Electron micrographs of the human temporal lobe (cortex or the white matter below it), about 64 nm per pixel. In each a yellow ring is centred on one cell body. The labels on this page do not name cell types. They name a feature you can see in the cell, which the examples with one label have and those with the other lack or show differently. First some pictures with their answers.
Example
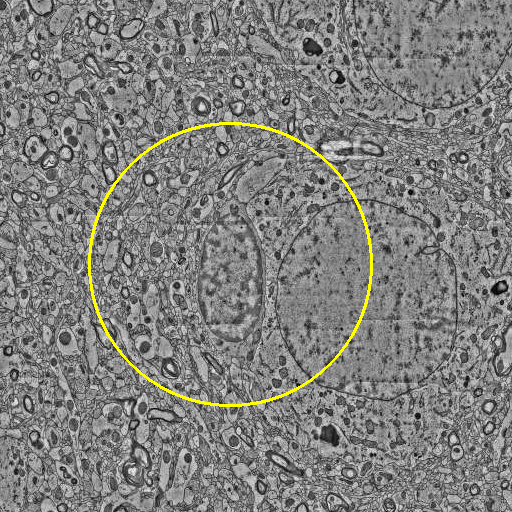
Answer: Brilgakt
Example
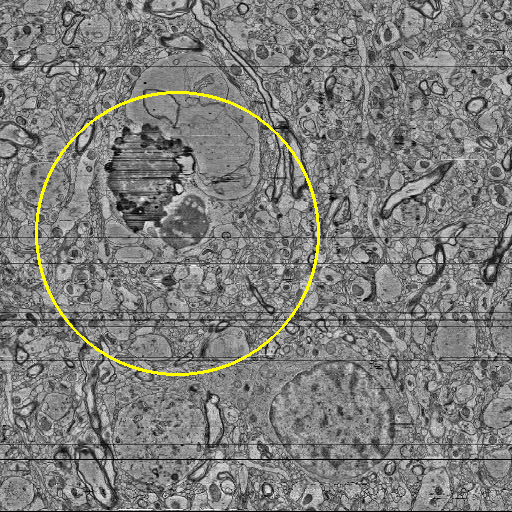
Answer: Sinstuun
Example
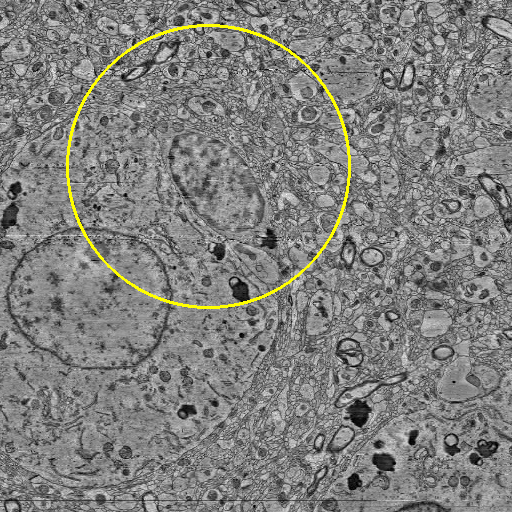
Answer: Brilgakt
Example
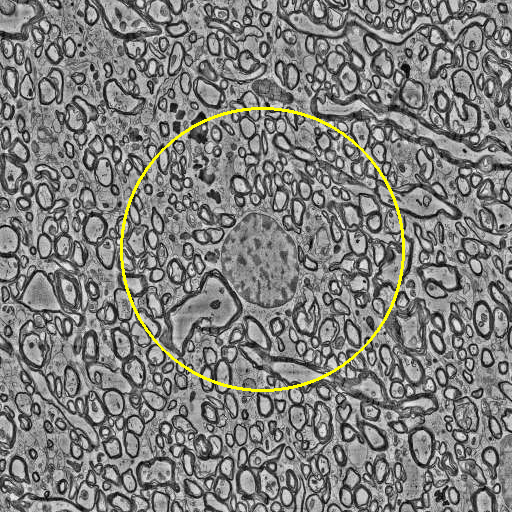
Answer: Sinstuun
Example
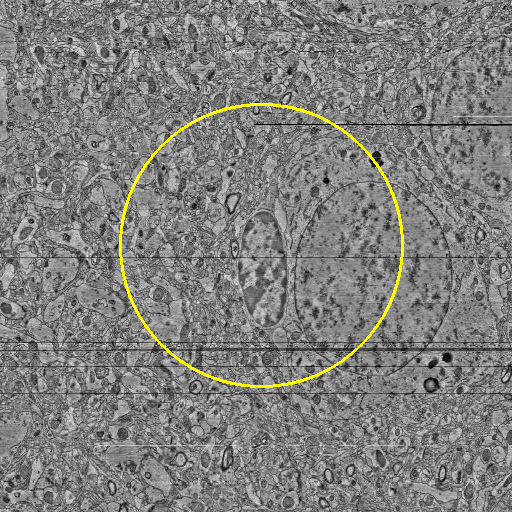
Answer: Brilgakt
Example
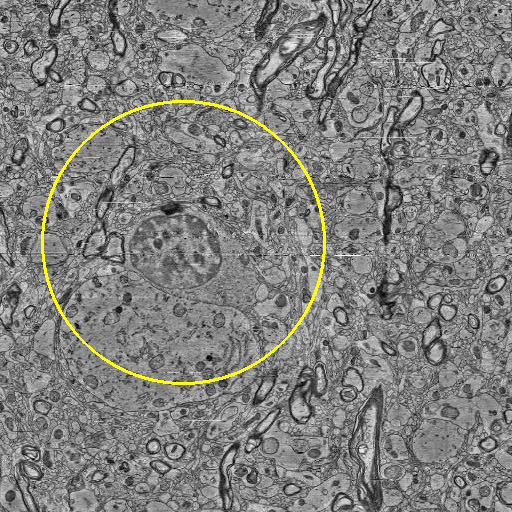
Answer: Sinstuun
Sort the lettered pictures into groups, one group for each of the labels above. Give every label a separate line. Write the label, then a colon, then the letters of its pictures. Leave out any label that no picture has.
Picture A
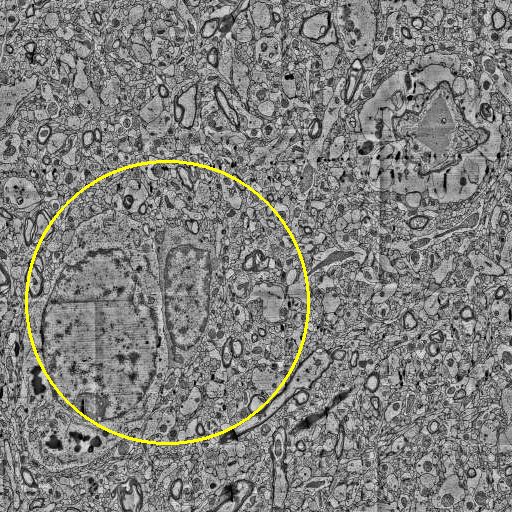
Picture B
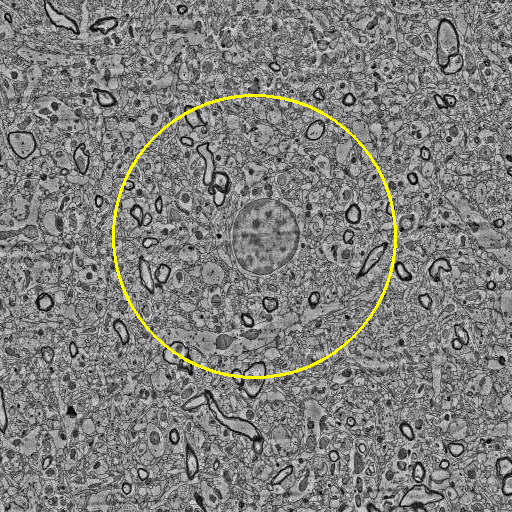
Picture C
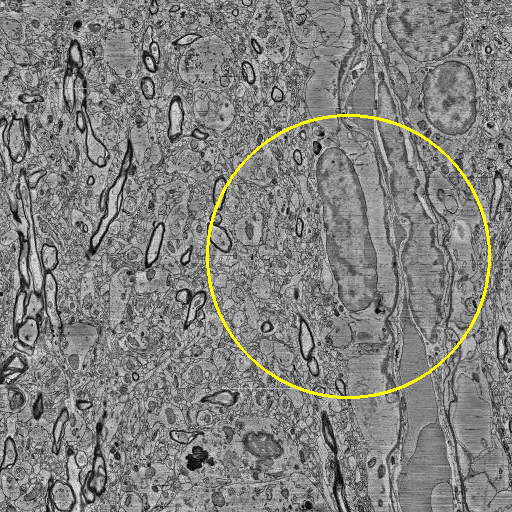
Brilgakt: A, C
Sinstuun: B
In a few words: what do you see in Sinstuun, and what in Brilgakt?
Sinstuun: round or nearly round nuclei; Brilgakt: clearly elongated nuclei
